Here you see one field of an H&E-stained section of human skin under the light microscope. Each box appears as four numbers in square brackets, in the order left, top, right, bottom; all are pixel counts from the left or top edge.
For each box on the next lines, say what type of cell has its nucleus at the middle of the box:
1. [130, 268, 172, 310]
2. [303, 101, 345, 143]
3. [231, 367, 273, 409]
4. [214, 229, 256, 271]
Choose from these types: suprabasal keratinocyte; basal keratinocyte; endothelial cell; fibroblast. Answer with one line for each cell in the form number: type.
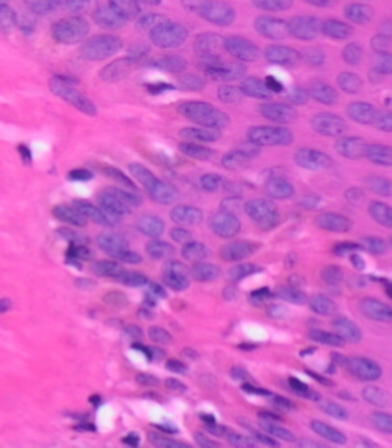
1: basal keratinocyte
2: suprabasal keratinocyte
3: basal keratinocyte
4: basal keratinocyte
